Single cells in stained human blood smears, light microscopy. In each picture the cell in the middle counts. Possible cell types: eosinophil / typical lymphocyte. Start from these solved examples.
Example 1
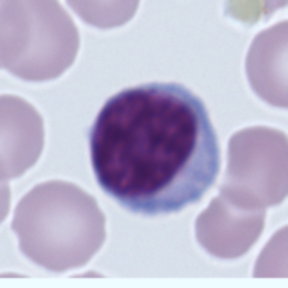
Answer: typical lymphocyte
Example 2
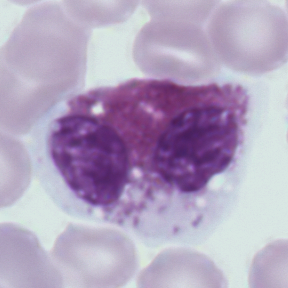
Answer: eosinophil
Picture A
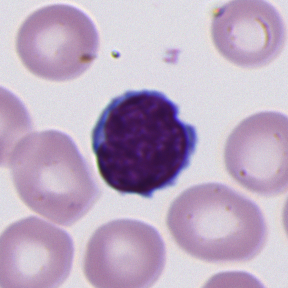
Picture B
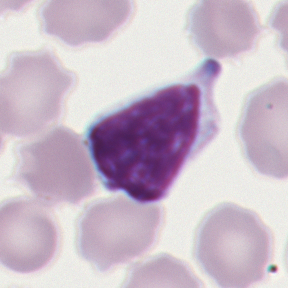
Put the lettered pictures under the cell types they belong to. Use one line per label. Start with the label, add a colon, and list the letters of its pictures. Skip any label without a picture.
typical lymphocyte: A, B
